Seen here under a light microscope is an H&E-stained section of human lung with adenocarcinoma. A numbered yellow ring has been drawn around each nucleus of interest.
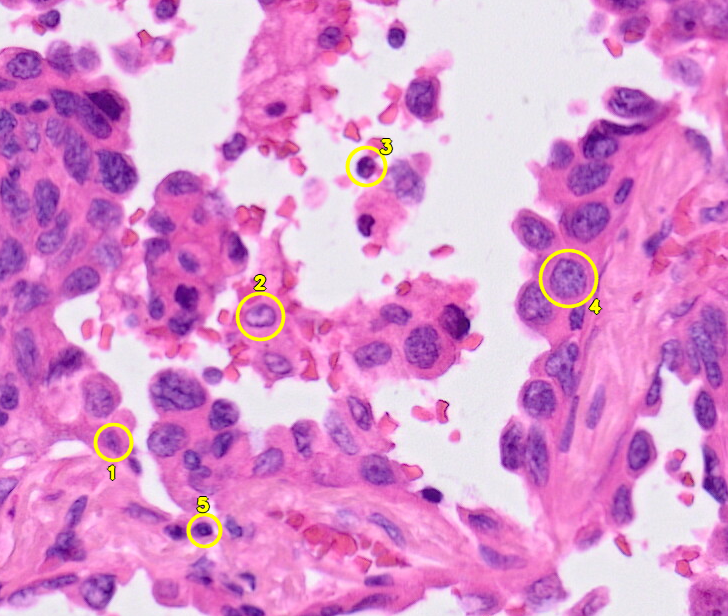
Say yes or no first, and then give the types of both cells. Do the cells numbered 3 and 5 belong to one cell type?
Yes, along with cell 3, cell 5 is also among the lymphocytes.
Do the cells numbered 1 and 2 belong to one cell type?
No, the proper labels are a carcinoma cell for cell 1 and a macrophage or monocyte for cell 2.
